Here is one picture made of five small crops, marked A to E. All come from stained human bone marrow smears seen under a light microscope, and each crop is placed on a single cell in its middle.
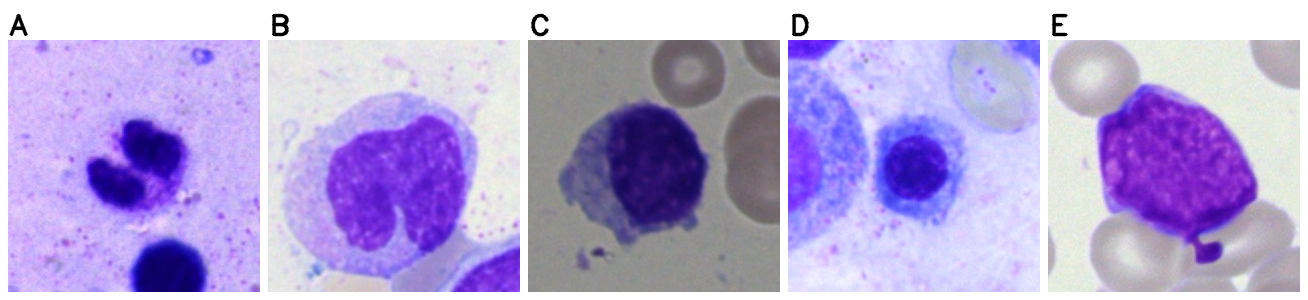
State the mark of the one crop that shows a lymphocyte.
C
